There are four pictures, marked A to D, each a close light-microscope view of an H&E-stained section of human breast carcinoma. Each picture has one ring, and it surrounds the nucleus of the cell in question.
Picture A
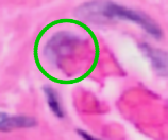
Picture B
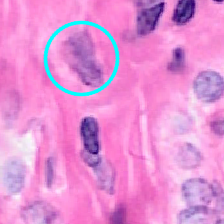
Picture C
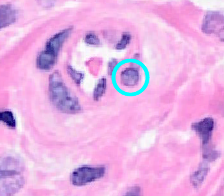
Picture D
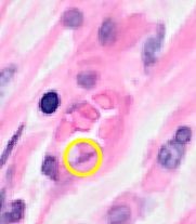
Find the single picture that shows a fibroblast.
B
